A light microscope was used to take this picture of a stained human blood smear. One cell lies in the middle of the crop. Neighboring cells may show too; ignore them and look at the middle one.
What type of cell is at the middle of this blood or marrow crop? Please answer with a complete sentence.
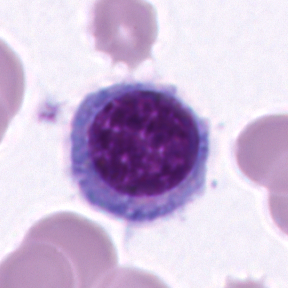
Where the crop is centred, there is a plasma cell.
